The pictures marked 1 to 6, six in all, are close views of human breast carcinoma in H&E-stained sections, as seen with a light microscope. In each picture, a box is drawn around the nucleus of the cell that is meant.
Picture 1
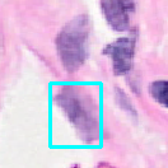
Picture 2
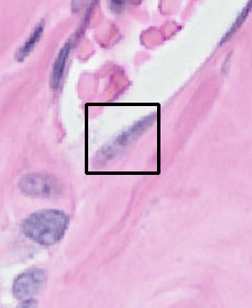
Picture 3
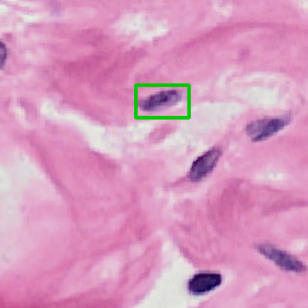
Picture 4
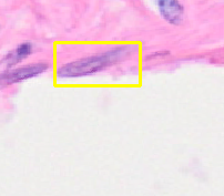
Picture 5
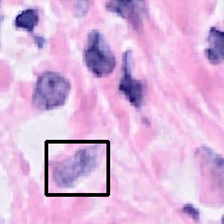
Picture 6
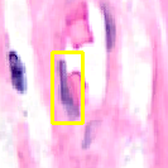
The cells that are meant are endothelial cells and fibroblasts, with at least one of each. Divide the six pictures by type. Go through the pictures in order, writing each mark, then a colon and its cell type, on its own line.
1: endothelial cell
2: endothelial cell
3: fibroblast
4: endothelial cell
5: fibroblast
6: endothelial cell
